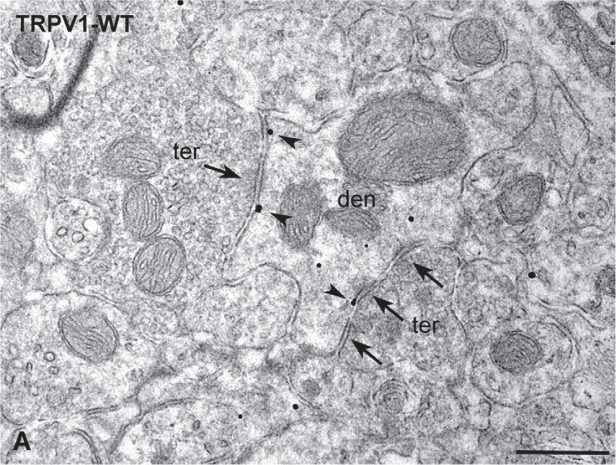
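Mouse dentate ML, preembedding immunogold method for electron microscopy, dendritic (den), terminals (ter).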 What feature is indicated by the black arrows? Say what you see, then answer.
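The arrows point to thin paired membrane appositions between a vesicle-filled terminal and a dendrite. The postsynaptic side shows no thick dense band. Small round vesicles fill the terminal beside the contact.
Answer: symmetric synapses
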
